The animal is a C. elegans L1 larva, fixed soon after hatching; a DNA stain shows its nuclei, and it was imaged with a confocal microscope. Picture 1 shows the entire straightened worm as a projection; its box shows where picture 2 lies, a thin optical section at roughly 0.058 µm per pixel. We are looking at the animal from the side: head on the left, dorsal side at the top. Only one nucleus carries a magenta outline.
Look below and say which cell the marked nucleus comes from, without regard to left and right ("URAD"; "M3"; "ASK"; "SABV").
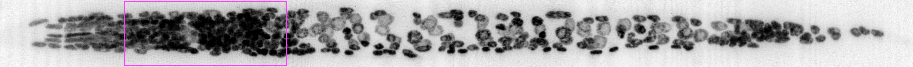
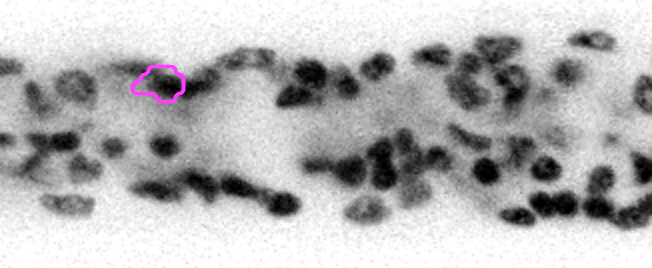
URAD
